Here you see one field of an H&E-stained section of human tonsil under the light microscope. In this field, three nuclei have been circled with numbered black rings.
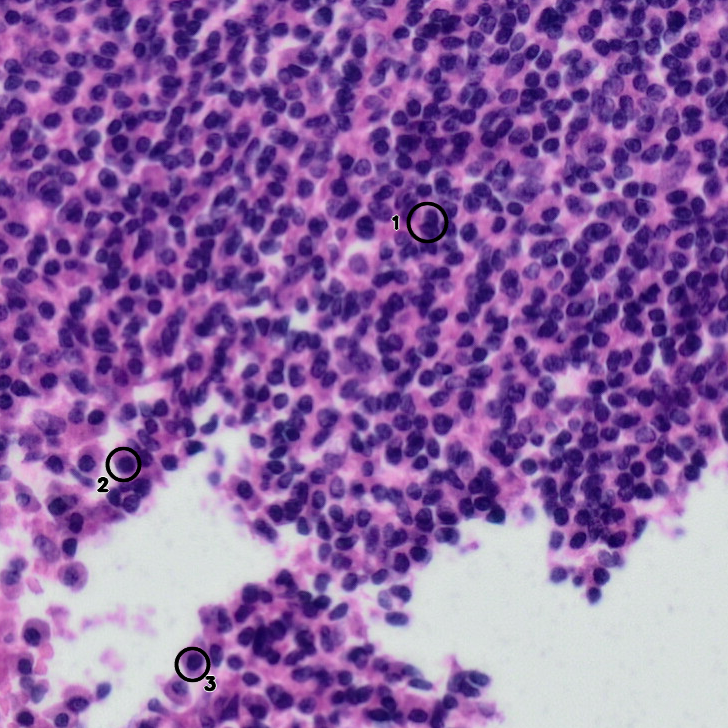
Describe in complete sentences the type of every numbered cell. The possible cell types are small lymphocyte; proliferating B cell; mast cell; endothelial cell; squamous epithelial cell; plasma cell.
Cell 1 is a small lymphocyte. Cells 2 and 3 are plasma cells.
